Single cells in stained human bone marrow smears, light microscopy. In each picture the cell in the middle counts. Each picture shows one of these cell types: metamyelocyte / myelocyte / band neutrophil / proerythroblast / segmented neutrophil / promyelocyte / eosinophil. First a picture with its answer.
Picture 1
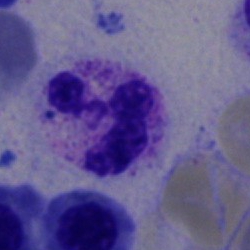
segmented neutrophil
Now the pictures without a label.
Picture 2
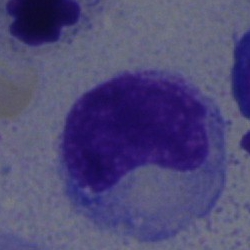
metamyelocyte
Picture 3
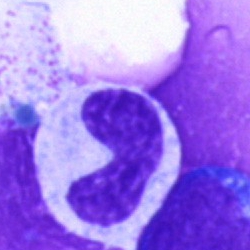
band neutrophil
